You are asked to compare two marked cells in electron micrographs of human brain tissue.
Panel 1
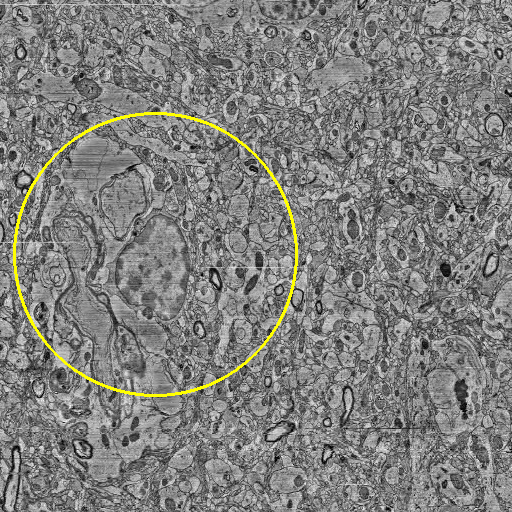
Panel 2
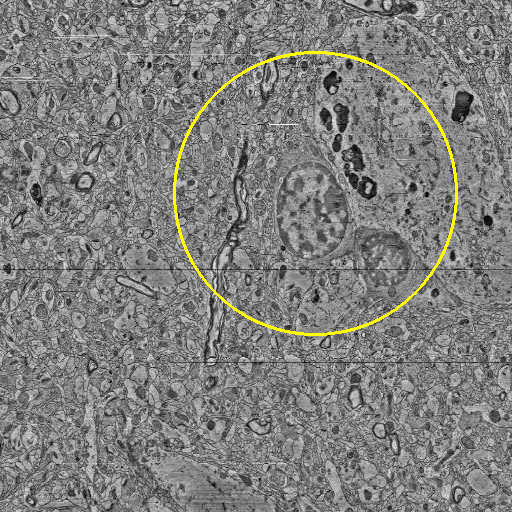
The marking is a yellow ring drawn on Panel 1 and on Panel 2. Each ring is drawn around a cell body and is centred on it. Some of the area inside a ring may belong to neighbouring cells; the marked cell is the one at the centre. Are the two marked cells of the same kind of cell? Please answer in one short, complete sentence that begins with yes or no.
Yes, the two marked cells are of the same kind.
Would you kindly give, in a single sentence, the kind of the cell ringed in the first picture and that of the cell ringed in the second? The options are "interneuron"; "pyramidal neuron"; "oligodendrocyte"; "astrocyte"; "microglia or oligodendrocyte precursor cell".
Each cell, in the first picture and the second, is an oligodendrocyte.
